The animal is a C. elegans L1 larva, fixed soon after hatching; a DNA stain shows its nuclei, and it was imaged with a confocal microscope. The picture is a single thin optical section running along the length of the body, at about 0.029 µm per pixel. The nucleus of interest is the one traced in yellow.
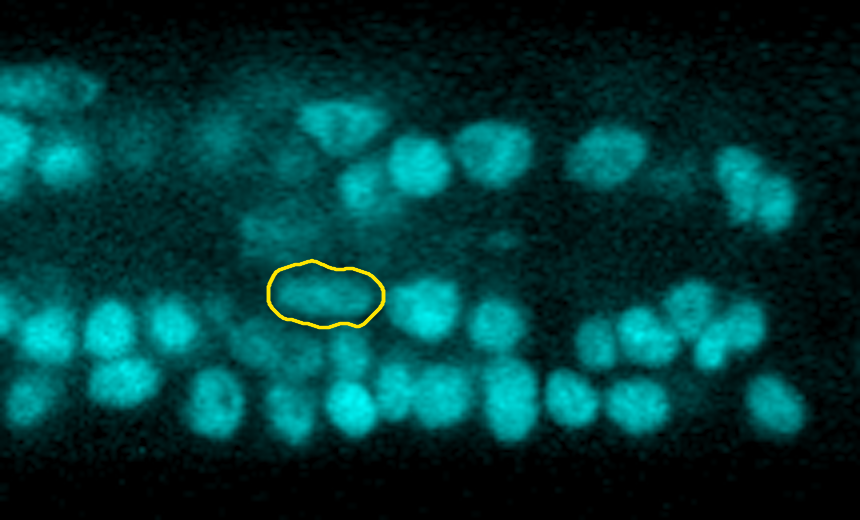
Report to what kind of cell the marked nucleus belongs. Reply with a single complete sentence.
It is the nucleus of a pharyngeal marginal cell.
